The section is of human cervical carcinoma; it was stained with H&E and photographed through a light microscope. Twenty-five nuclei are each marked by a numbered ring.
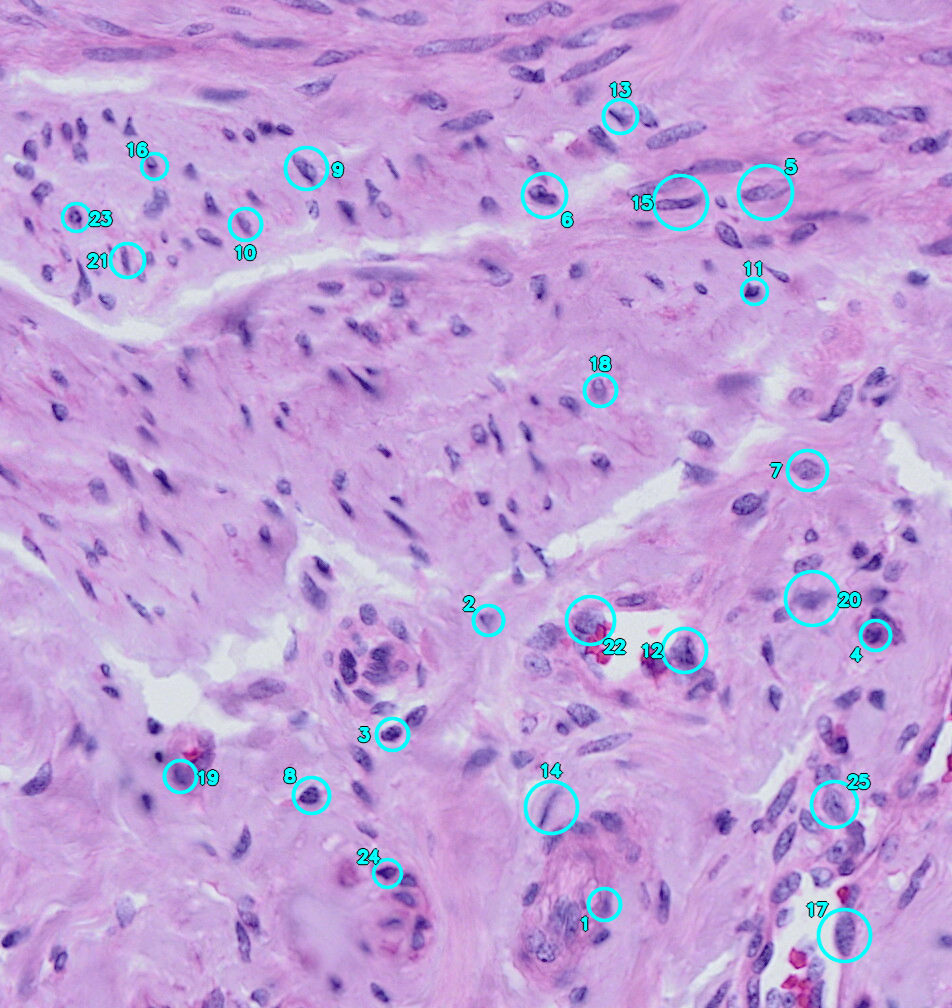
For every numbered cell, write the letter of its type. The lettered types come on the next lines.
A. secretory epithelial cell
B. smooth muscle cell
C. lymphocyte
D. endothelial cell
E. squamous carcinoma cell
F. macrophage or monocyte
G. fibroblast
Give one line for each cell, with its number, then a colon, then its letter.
1: B
2: G
3: C
4: D
5: B
6: C
7: G
8: C
9: G
10: B
11: G
12: D
13: G
14: G
15: G
16: B
17: D
18: B
19: D
20: G
21: B
22: D
23: B
24: B
25: D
